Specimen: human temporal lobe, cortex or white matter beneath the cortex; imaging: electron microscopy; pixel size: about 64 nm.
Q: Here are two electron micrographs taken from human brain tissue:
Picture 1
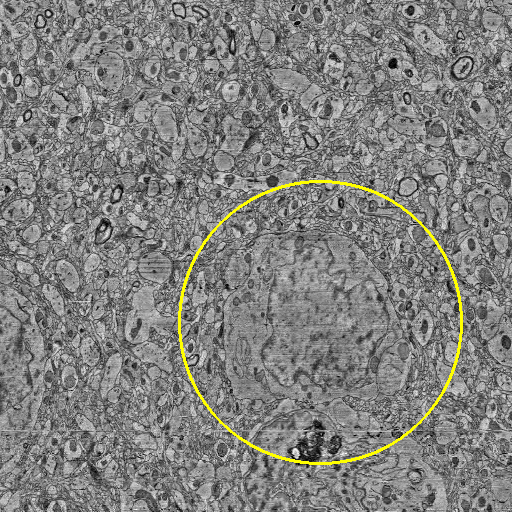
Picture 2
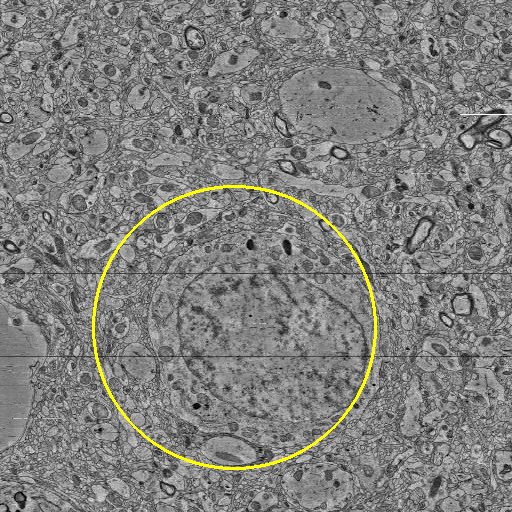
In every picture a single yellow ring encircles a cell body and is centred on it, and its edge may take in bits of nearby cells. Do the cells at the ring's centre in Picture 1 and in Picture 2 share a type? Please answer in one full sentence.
Yes, the cells at the ring's centre in Picture 1 and Picture 2 share a type.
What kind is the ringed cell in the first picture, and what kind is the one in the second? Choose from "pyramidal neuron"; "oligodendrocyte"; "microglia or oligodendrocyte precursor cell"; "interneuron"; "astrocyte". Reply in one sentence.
Each of the ringed cells, first and second, is an interneuron.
